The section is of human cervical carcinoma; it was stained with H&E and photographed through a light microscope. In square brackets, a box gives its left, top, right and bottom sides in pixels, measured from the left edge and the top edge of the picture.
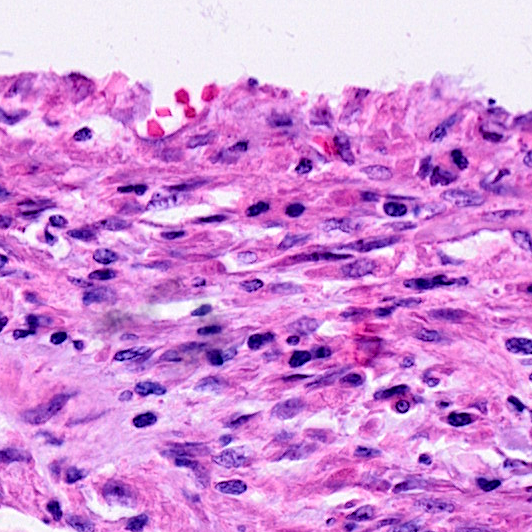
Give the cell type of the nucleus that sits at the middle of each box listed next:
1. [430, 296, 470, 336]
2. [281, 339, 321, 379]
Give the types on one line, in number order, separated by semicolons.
fibroblast; lymphocyte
